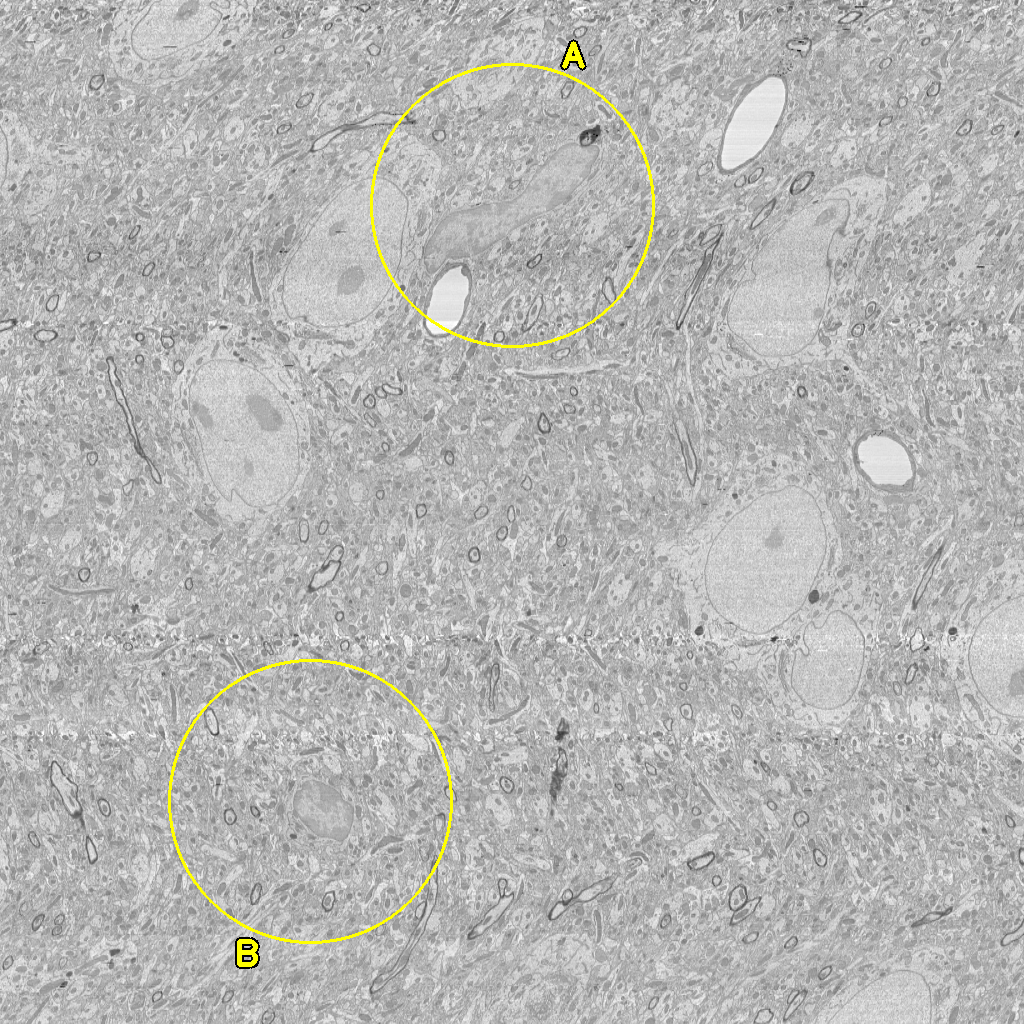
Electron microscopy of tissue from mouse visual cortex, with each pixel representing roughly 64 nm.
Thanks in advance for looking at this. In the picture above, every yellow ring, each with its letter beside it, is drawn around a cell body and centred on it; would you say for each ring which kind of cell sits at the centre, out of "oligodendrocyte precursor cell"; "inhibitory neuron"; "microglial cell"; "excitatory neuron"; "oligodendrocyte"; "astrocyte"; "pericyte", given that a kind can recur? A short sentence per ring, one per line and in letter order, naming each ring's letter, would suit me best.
The cell body in ring A belongs to a microglial cell.
The cell body in ring B belongs to a microglial cell.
